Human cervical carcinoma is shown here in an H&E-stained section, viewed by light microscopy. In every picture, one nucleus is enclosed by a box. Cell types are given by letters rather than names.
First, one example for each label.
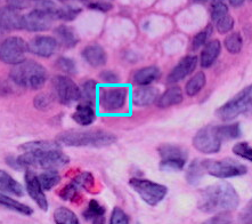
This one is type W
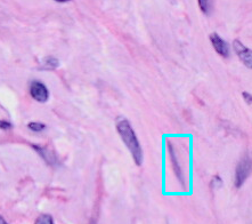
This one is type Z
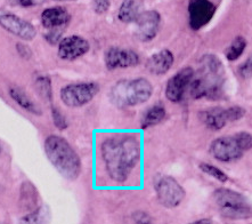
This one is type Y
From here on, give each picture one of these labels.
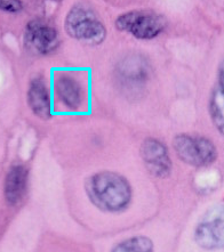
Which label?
type Y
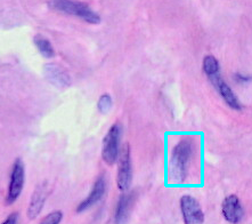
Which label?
type Z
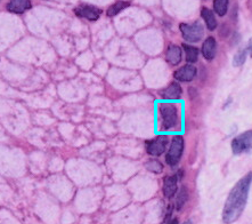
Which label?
type W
